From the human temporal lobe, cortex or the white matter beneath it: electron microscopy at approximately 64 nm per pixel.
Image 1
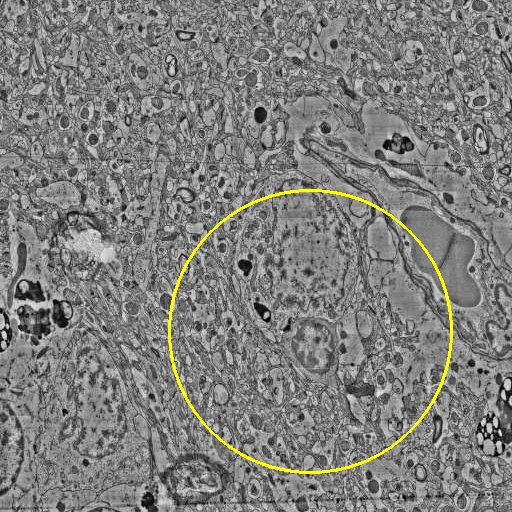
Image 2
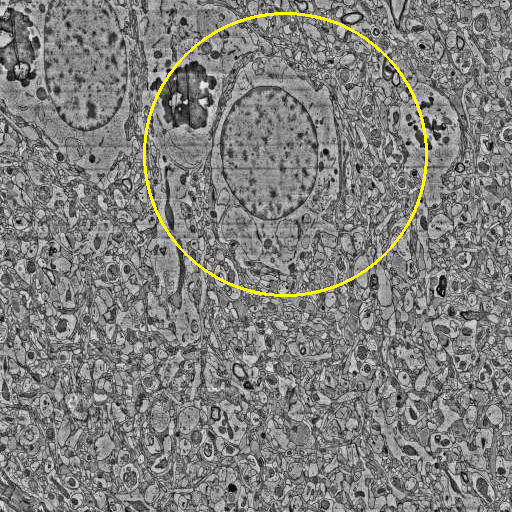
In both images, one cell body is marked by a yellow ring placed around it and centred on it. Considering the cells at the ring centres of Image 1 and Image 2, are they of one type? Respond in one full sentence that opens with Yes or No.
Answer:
No, two types apply to the ring-centred cells of Image 1 and Image 2.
